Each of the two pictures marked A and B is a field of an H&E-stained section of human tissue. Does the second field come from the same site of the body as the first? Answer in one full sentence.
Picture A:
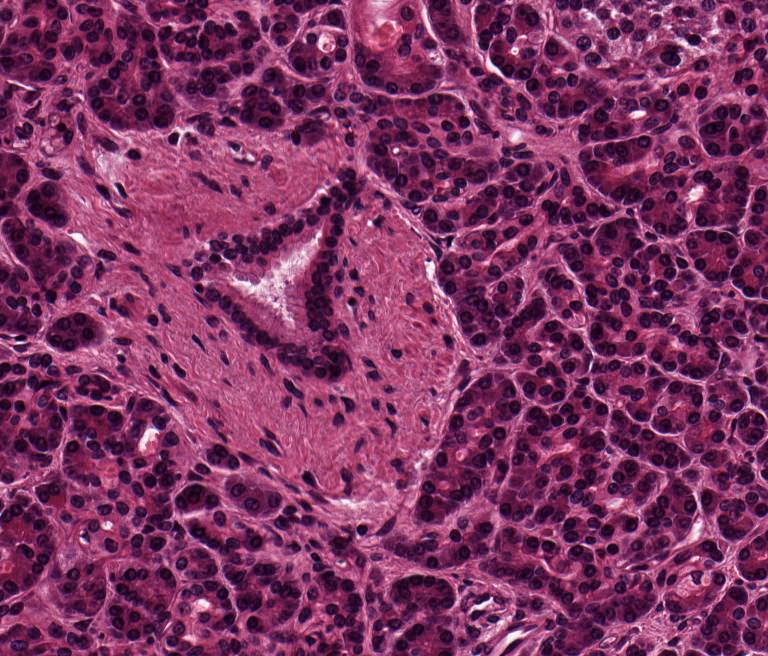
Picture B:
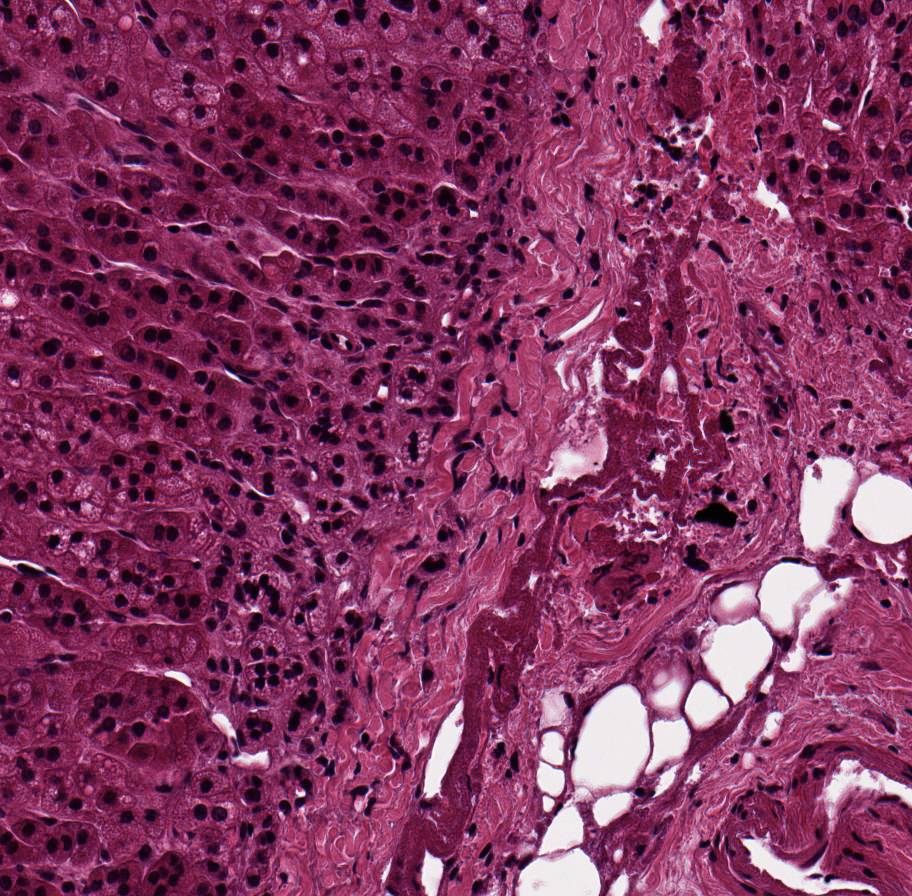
No. Picture A comes from the pancreas, whereas picture B comes from the adrenal gland.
